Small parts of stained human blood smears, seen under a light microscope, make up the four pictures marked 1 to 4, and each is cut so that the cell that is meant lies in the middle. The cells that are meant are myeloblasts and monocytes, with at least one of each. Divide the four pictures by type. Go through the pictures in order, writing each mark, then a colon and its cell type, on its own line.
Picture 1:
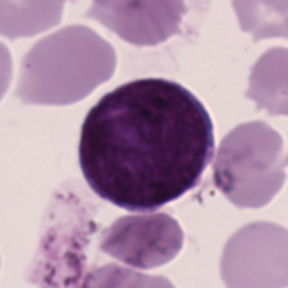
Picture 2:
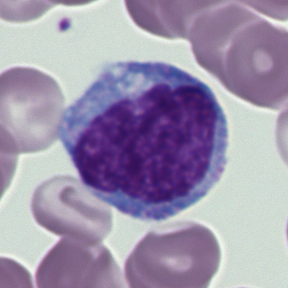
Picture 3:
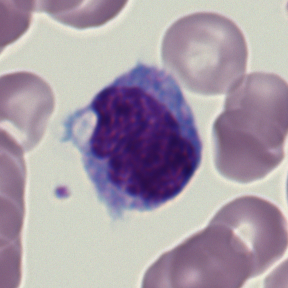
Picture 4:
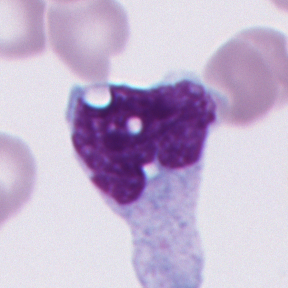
1: myeloblast
2: monocyte
3: monocyte
4: monocyte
